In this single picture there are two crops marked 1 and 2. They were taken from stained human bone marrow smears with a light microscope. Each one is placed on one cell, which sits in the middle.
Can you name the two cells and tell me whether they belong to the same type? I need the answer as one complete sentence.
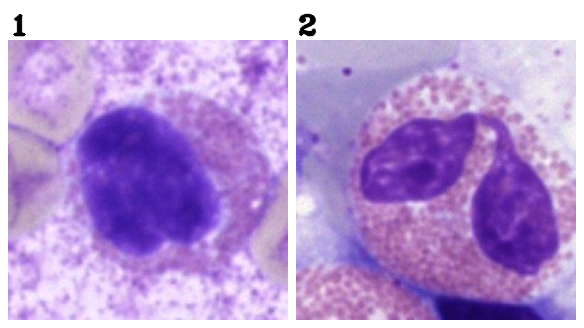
Yes, both crops have eosinophils as their central cells.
